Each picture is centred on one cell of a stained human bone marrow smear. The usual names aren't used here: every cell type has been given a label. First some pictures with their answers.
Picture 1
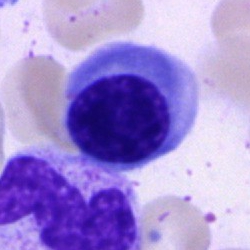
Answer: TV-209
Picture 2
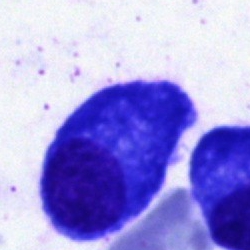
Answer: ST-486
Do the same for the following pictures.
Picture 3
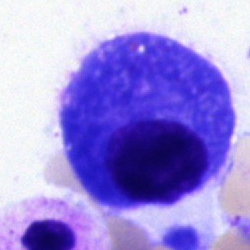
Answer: ST-486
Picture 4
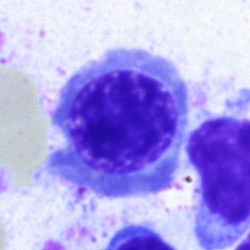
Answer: TV-209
